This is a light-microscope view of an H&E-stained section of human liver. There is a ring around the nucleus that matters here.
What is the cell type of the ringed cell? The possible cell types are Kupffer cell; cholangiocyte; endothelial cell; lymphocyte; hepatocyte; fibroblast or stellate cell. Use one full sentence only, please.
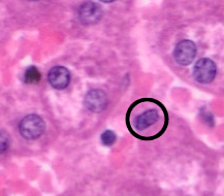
Among the cells in this section, the ringed cell is a fibroblast or stellate cell.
